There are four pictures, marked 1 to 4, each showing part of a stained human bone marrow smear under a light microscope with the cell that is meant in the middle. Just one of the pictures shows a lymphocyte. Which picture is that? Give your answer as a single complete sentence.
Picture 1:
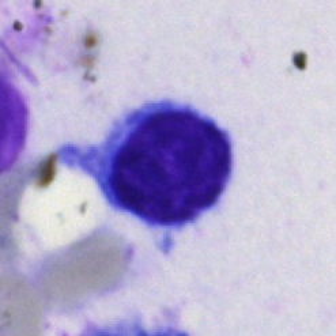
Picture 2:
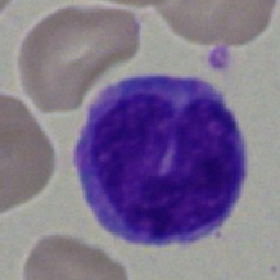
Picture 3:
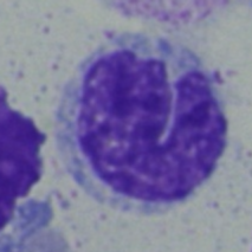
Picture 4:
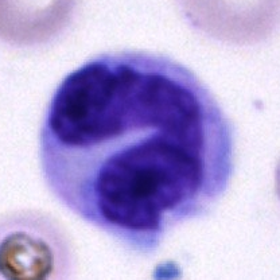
The lymphocyte is the one in picture 1.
